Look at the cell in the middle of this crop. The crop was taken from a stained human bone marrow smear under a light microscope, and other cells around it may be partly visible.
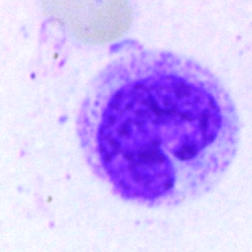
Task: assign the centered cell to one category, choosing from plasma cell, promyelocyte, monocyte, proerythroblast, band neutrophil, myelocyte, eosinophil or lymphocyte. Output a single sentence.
Whatever else lies nearby, the middle cell is a band neutrophil.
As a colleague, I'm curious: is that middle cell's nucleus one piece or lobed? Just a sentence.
Round, oval or kidney-shaped, the nucleus is one compact mass.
